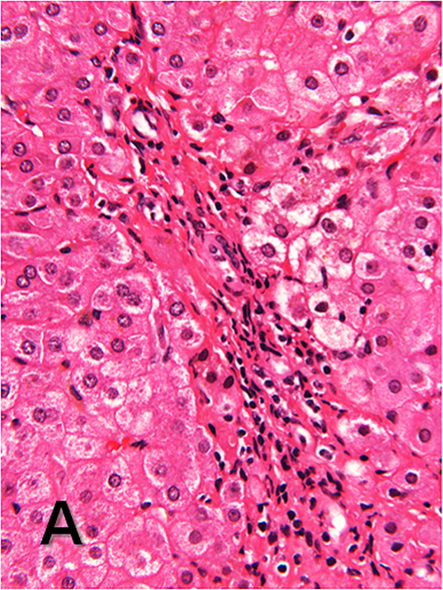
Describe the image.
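Liver tissue with plates of hepatocytes on either side of a narrow diagonal band of connective tissue. The hepatocytes are large and polygonal, with abundant pink, finely granular cytoplasm and round central nuclei with visible nucleoli; some cells carry two nuclei, and those beside the band look paler and more cleared. The band itself is pink fibrous stroma holding elongated spindle-shaped nuclei and scattered small, dark round nuclei. No duct lumen lined by cuboidal epithelium can be picked out within it, and no bile plugs are seen. This is a small portal tract with inconspicuous vessels and no recognizable bile ducts.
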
